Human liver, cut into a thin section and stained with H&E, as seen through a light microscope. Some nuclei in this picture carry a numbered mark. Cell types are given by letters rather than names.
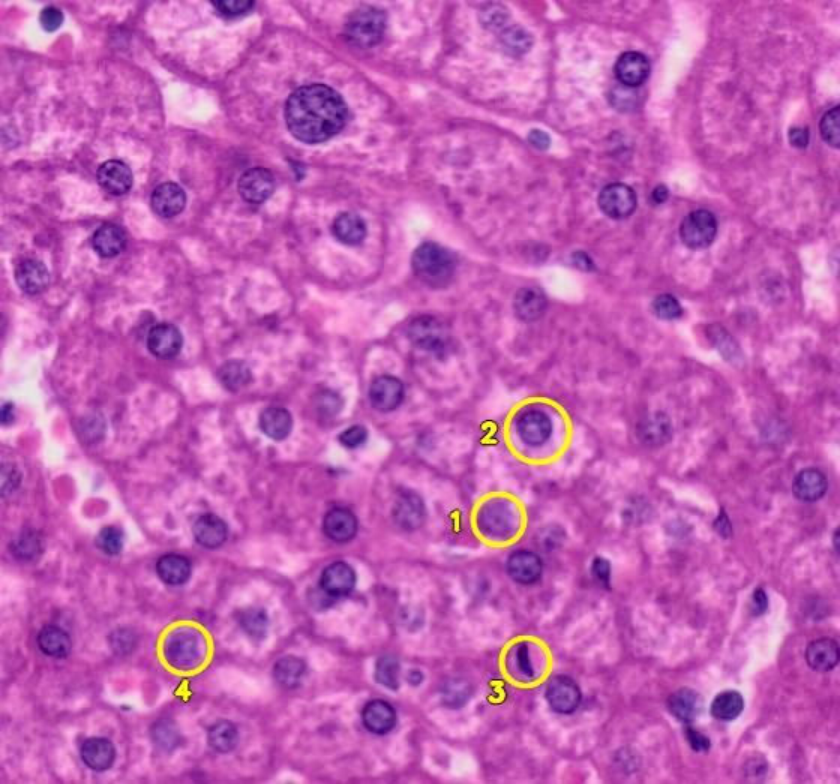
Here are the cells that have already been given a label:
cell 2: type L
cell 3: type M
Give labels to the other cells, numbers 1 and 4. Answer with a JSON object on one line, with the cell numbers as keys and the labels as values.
{"1": "type L", "4": "type L"}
